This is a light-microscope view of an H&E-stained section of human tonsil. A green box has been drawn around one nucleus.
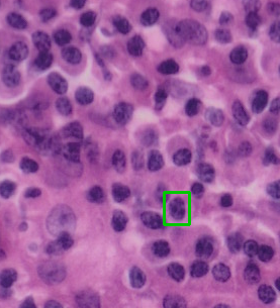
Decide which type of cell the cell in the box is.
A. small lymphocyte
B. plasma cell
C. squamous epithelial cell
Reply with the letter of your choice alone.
B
